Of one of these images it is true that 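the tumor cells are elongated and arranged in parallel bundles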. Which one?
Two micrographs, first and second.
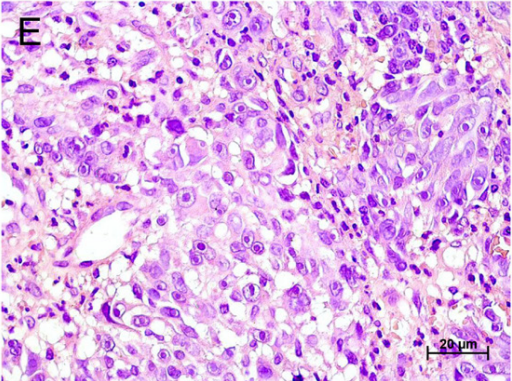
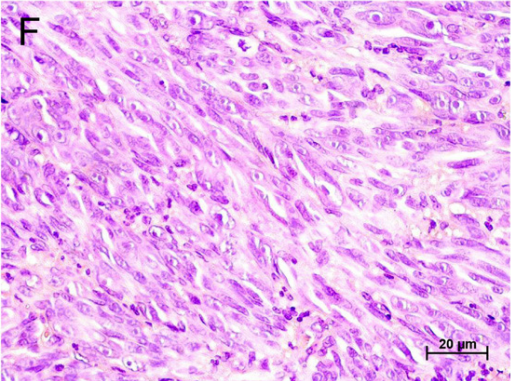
the second image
